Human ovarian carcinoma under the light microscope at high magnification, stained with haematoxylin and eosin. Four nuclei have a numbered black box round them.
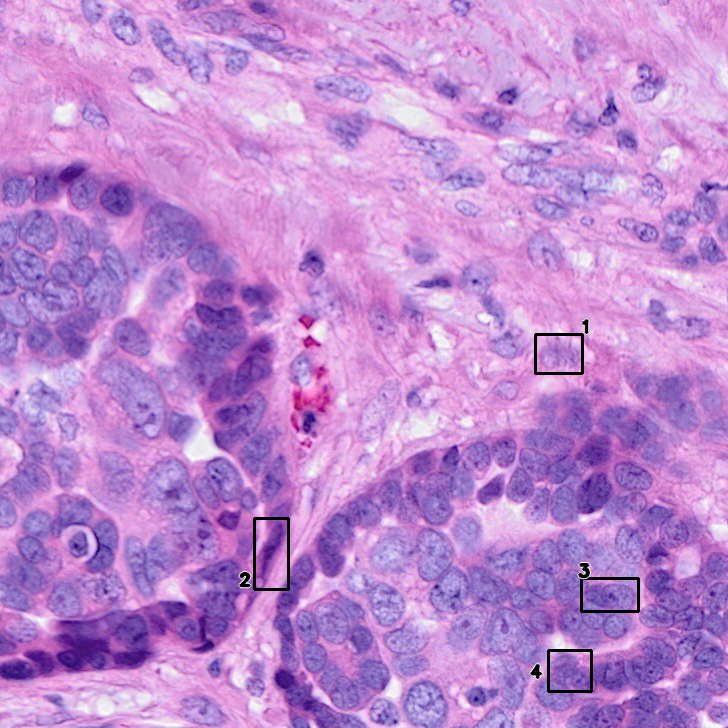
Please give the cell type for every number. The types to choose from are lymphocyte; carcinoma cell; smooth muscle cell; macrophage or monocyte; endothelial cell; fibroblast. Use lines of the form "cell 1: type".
cell 1: fibroblast
cell 2: carcinoma cell
cell 3: carcinoma cell
cell 4: carcinoma cell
